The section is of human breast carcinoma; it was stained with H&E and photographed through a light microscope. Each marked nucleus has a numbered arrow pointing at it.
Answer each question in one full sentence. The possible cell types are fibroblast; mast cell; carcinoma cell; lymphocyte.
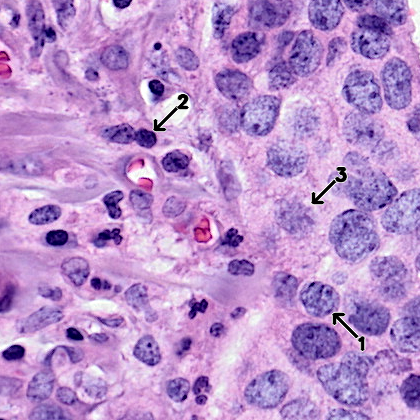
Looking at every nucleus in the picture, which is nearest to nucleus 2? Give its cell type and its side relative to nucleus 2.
It is a mast cell, whose nucleus lies to the left of nucleus 2.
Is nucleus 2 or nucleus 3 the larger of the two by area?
The larger nucleus is 3, at roughly 3 times the area of 2.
